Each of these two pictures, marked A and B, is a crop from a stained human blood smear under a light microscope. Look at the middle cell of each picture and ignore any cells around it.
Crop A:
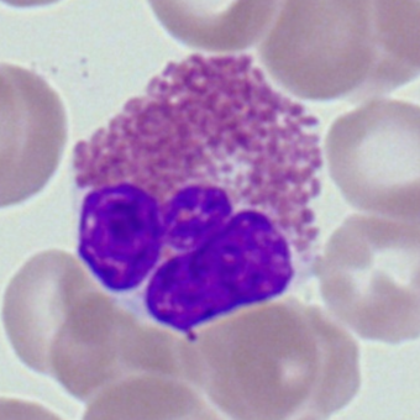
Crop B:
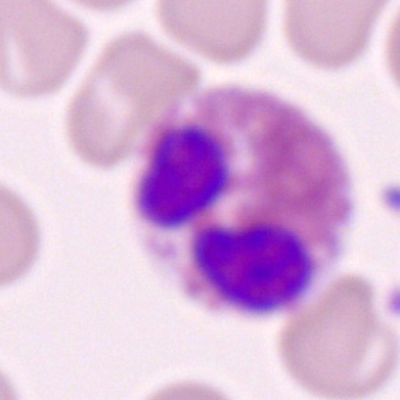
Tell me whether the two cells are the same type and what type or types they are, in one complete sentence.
Yes, the cells that both crops show at the centre are eosinophils.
